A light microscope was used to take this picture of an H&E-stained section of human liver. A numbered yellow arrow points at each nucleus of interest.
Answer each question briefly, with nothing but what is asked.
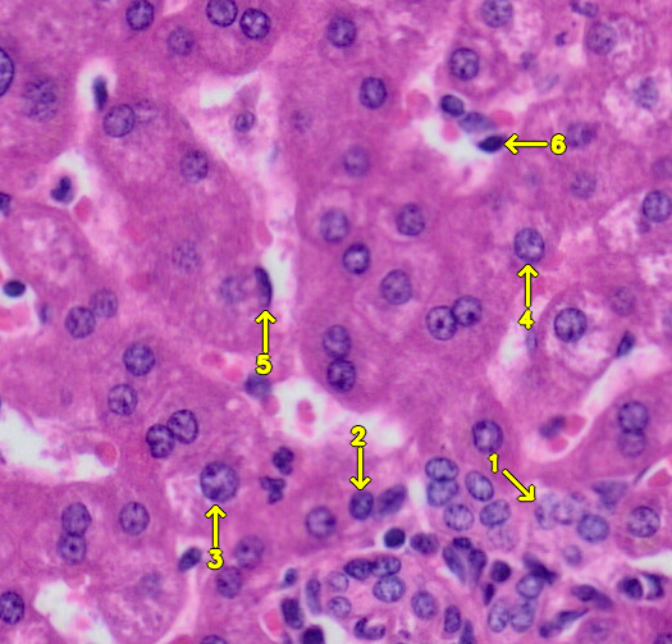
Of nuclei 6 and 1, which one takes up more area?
1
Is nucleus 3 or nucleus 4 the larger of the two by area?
3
